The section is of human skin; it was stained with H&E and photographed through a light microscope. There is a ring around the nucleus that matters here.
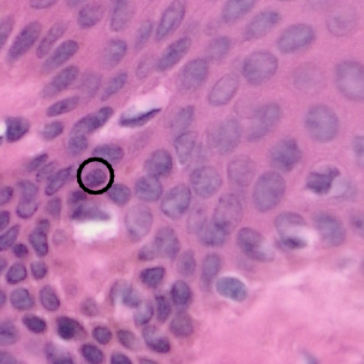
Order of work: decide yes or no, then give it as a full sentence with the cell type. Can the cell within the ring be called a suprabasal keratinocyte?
No, the cell within the ring is identified as a basal keratinocyte and not as a suprabasal keratinocyte.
